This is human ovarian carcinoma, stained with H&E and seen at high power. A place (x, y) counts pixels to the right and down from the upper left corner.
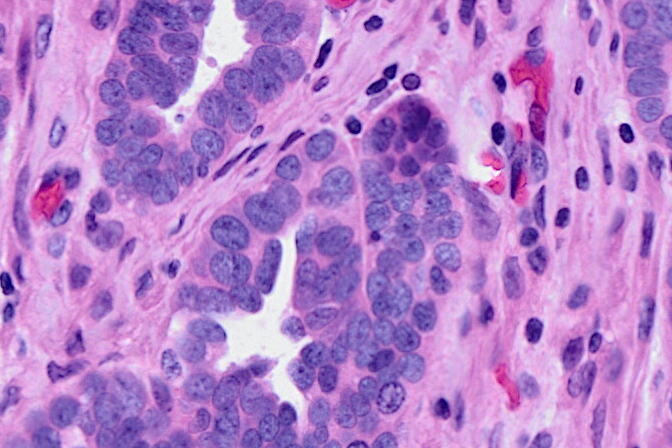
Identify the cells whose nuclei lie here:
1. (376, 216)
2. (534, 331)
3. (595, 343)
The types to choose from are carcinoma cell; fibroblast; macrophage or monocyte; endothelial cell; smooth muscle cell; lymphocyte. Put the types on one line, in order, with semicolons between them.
carcinoma cell; lymphocyte; lymphocyte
